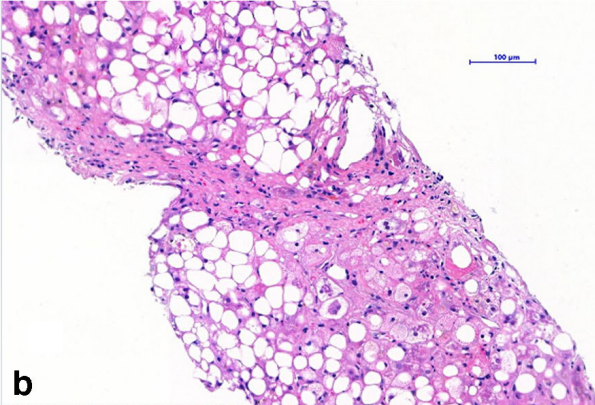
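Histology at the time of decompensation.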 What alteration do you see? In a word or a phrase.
macrovesicular steatosis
